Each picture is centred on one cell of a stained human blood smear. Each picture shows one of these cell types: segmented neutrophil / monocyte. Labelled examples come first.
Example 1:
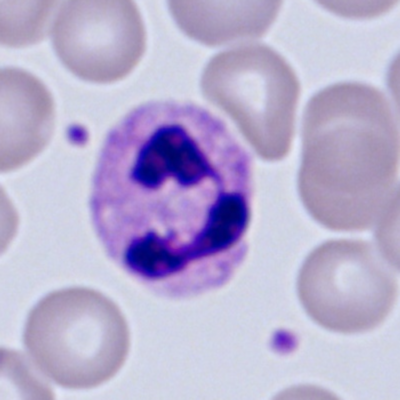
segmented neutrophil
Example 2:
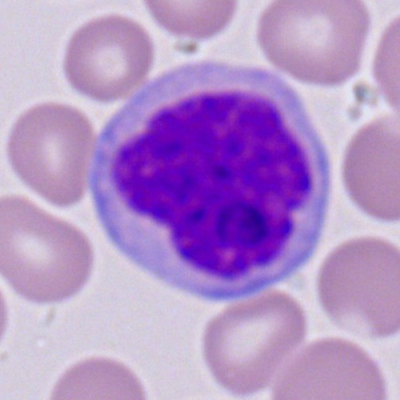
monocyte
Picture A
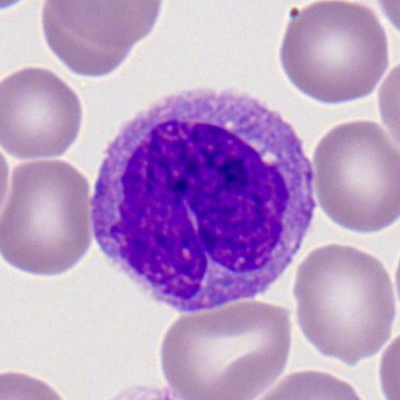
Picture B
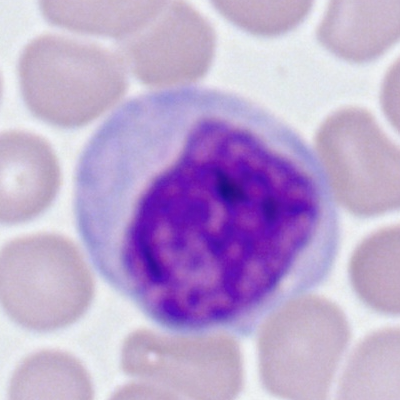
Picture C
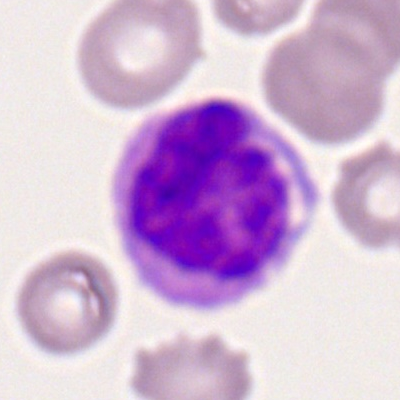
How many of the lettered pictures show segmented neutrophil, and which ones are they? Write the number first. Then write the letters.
0, none of them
